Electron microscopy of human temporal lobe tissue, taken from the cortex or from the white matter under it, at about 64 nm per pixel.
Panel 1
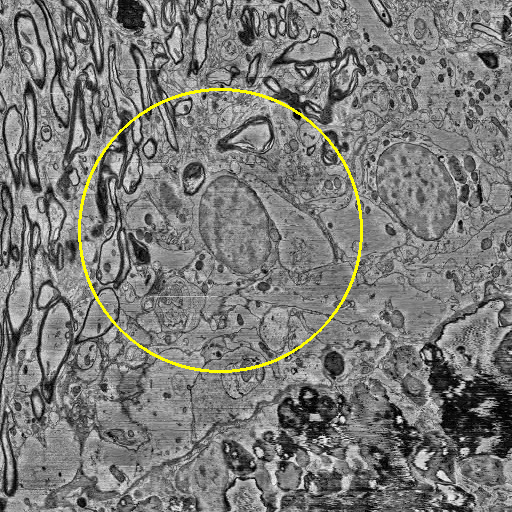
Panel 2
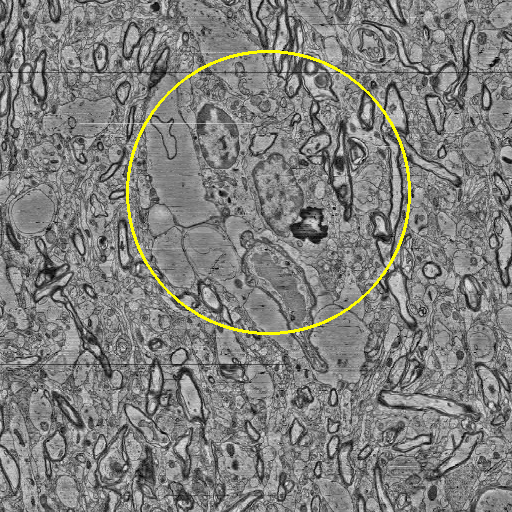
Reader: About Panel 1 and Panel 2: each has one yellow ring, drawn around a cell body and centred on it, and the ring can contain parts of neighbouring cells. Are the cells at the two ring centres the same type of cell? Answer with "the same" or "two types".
the same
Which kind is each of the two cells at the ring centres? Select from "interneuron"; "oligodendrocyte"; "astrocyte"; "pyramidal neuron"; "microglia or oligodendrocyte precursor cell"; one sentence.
Each cell at the centre of a ring is an oligodendrocyte.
